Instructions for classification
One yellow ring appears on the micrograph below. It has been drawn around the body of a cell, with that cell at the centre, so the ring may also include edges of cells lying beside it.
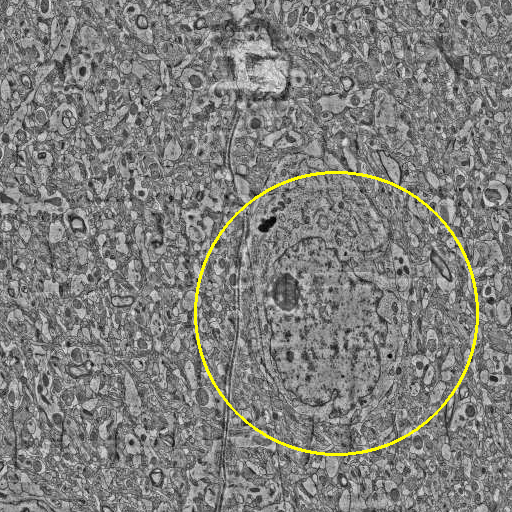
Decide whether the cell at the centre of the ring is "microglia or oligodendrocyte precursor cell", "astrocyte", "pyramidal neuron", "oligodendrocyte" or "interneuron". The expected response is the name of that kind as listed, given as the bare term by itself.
interneuron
